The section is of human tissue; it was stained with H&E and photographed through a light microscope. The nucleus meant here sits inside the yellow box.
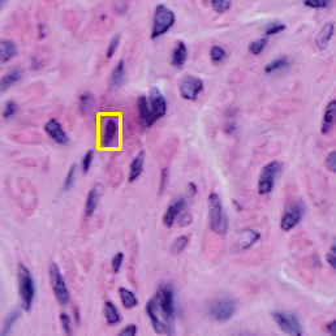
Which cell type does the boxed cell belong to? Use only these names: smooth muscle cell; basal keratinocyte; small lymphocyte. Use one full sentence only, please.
In the tissue at hand, the boxed cell is a smooth muscle cell.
